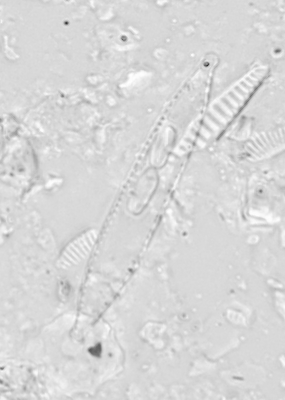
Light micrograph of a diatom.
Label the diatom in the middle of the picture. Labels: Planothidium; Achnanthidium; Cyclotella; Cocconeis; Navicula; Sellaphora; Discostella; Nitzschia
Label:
Nitzschia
